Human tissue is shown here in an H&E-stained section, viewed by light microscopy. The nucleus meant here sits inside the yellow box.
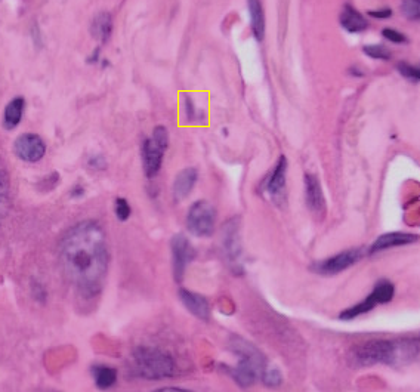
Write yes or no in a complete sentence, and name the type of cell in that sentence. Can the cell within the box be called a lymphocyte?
No, rather than a lymphocyte, the cell within the box is a fibroblast.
